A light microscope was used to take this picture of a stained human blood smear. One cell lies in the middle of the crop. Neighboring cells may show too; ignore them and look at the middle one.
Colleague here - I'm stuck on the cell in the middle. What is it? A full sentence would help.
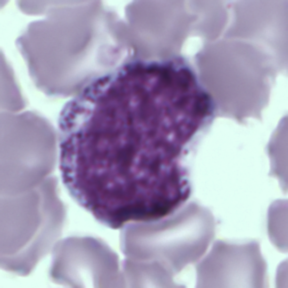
Whatever else lies nearby, the middle cell is a myelocyte.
